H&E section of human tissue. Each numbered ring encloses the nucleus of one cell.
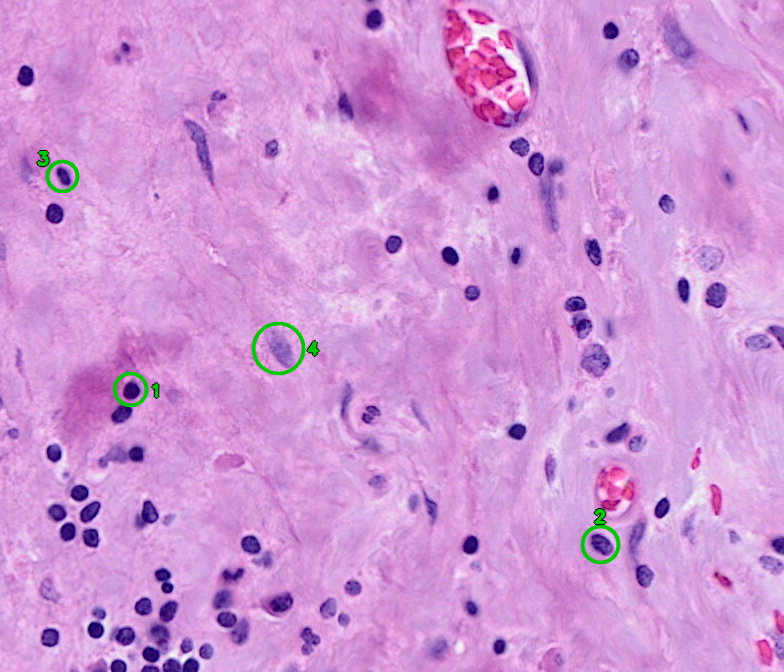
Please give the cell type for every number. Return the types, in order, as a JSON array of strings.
["lymphocyte", "lymphocyte", "lymphocyte", "fibroblast"]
